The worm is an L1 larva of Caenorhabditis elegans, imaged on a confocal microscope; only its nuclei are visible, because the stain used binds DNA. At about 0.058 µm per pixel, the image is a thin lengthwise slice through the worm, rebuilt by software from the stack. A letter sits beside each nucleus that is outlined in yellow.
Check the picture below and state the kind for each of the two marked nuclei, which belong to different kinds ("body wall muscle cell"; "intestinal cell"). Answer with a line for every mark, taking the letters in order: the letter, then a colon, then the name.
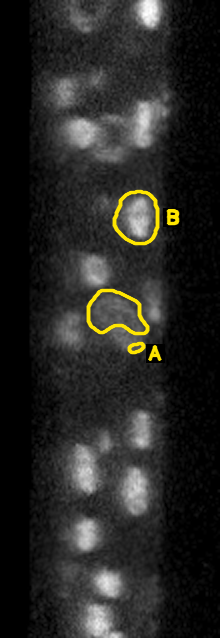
A: intestinal cell
B: body wall muscle cell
